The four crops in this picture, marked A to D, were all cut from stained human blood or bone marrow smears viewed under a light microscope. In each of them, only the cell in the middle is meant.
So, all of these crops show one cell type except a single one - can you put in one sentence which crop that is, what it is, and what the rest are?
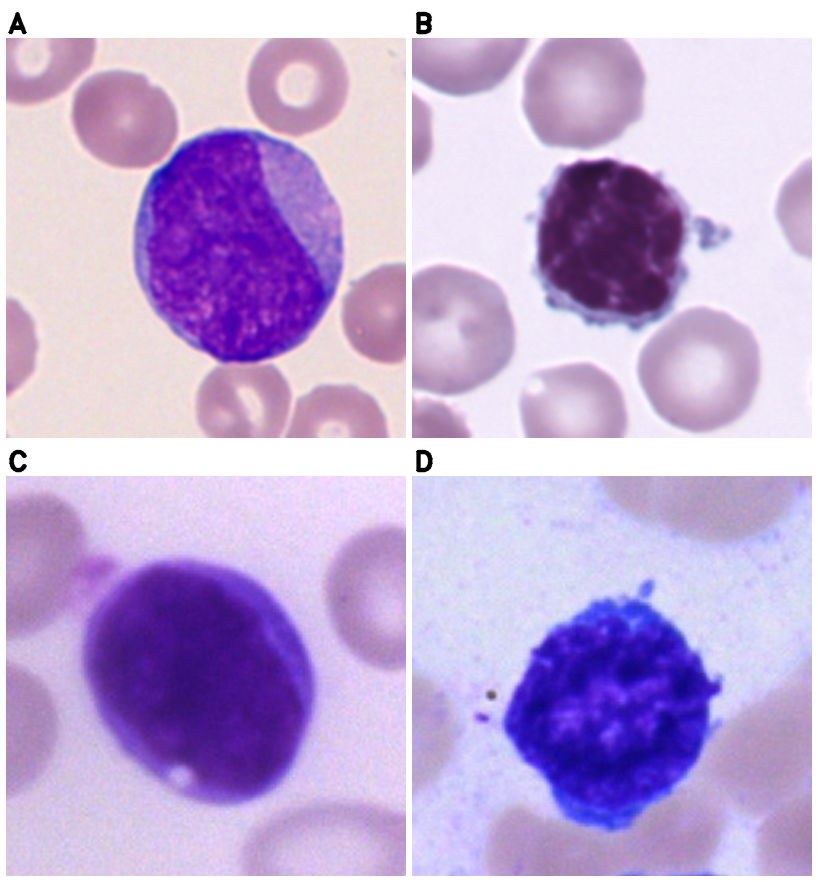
Crop B breaks the pattern as a lymphocyte; the other crops all contain blasts.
